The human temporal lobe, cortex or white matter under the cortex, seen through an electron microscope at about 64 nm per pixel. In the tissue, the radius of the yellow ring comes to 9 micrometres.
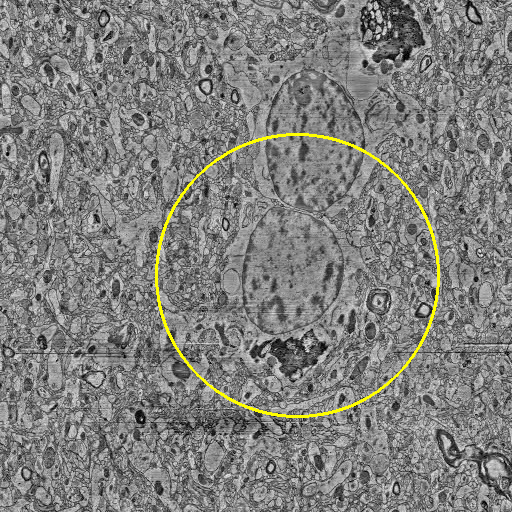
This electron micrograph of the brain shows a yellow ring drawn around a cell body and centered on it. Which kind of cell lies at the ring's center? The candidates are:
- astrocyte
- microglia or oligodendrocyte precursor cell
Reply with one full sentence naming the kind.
The cell lying at the ring's center in this micrograph is an astrocyte.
